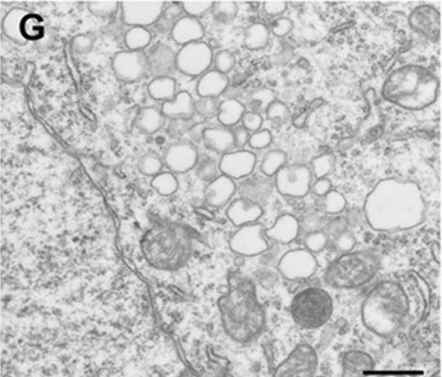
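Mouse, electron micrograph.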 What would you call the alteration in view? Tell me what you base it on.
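Clusters of clear vesicles. A large group of round, electron-lucent vesicles of varying size fills part of the cytoplasm. Mitochondria lie beside the vesicle group.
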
